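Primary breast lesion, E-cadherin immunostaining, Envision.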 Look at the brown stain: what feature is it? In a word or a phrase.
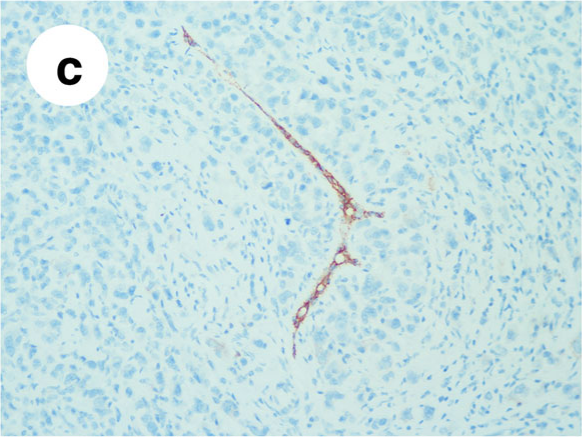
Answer: Residual duct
